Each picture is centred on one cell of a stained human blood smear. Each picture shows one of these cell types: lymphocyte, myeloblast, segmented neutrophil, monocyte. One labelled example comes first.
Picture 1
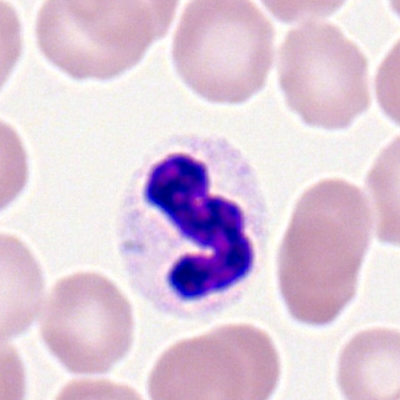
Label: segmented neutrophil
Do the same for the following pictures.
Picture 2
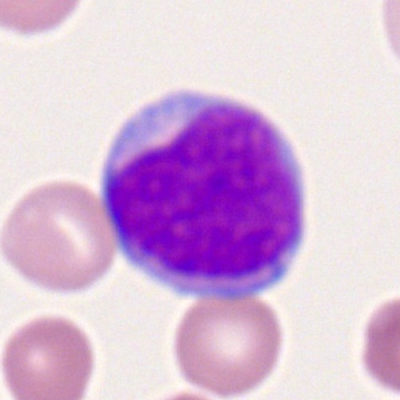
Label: myeloblast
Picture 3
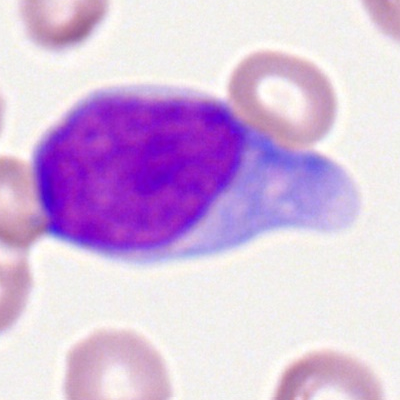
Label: myeloblast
